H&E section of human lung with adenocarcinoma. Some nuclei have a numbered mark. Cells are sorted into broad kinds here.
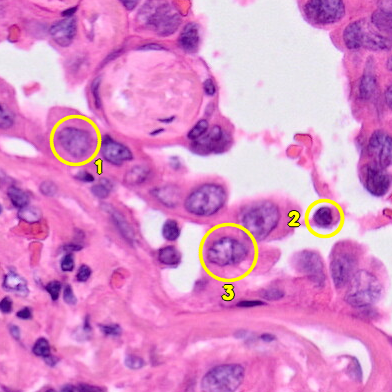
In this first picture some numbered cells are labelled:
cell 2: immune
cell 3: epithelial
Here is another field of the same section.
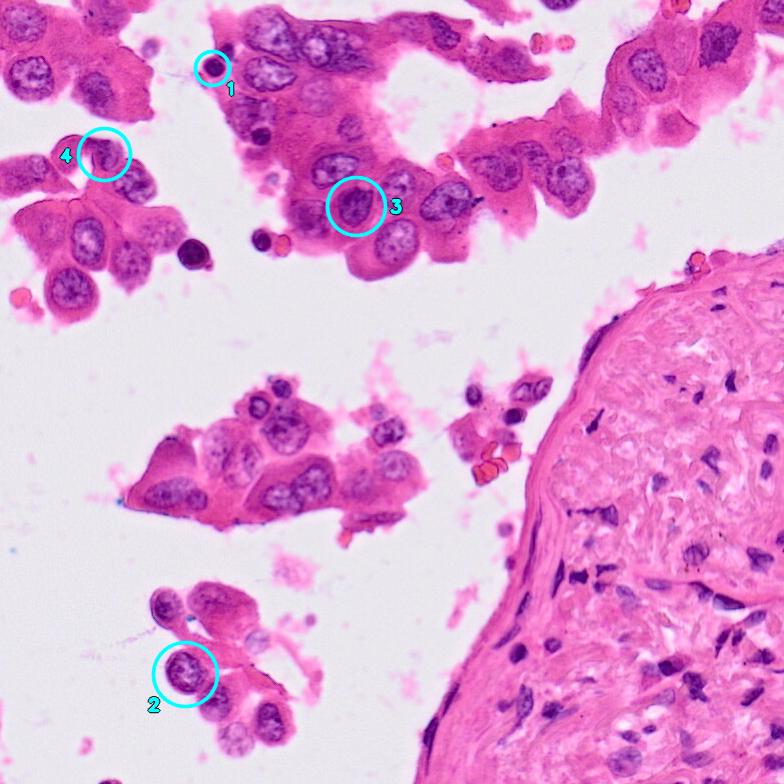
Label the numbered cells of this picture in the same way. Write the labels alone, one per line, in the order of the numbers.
immune
epithelial
epithelial
epithelial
